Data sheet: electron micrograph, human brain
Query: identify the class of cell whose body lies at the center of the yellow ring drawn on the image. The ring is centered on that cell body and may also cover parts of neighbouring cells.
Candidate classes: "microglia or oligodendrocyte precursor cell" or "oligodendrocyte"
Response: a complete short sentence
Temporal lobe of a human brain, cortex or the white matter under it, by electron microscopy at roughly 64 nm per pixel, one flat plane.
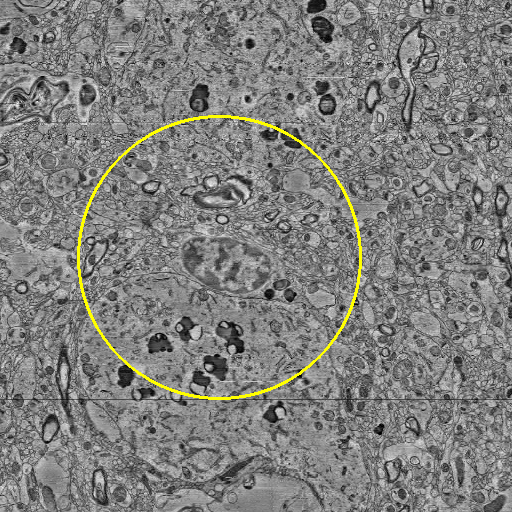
At the center of the ring lies a microglial cell or oligodendrocyte precursor cell.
